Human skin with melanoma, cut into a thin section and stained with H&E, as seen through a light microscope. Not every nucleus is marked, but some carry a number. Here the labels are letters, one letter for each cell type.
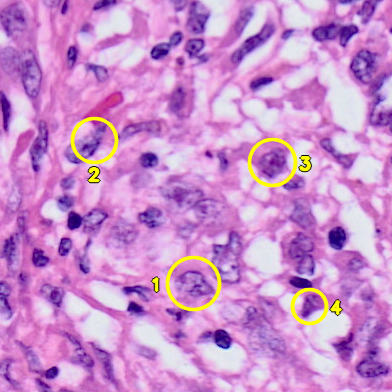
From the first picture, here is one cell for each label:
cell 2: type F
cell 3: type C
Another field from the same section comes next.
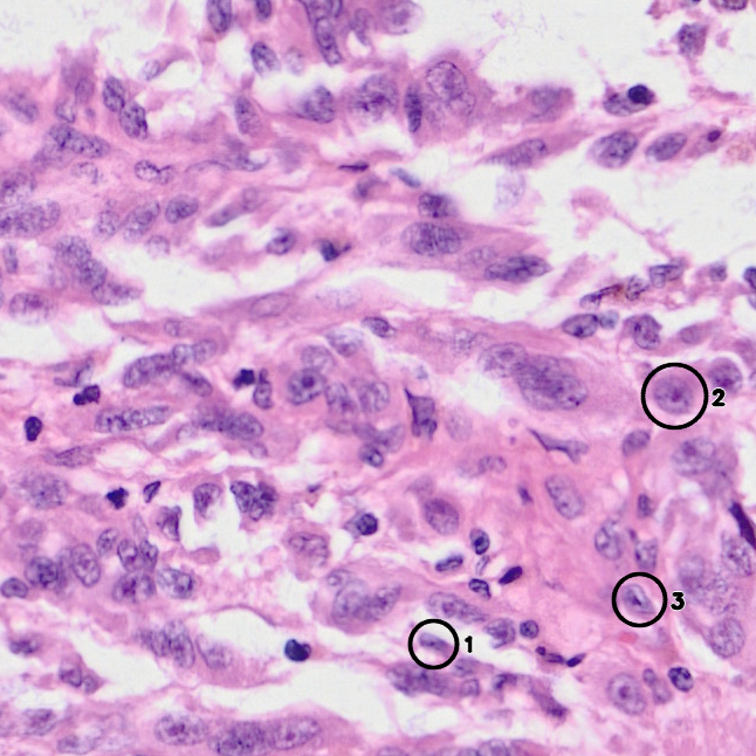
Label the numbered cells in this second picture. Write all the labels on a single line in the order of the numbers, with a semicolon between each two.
type C; type C; type F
